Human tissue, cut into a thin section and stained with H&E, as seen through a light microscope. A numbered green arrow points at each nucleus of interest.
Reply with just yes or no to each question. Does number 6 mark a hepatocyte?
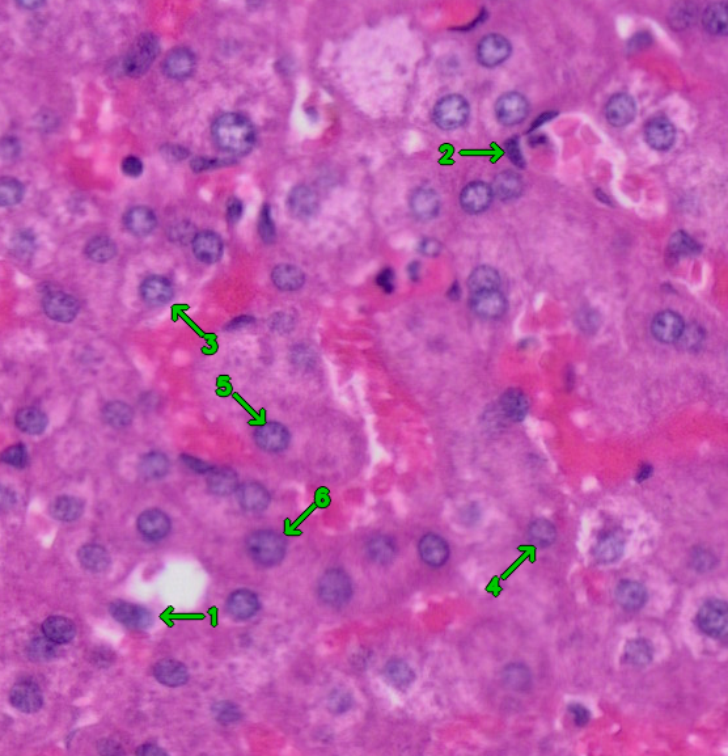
yes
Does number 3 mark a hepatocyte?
yes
